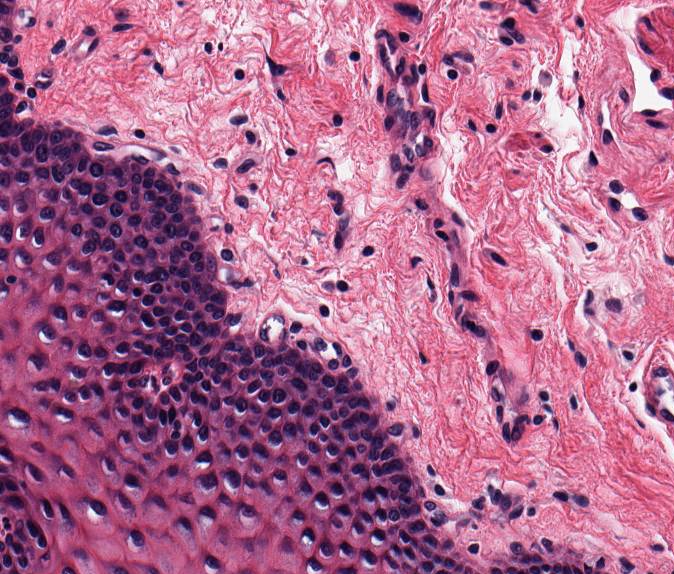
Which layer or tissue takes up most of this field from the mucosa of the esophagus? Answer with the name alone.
loose connective tissue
